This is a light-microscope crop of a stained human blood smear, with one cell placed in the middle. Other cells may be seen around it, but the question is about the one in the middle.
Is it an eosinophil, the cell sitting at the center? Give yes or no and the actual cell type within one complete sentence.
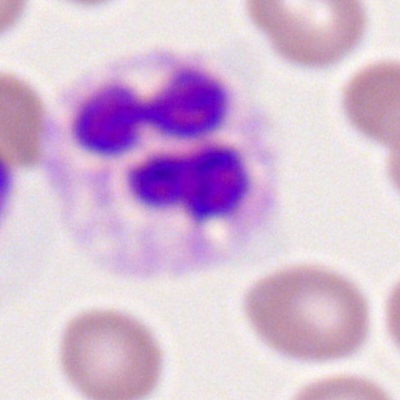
No, a segmented neutrophil rather than an eosinophil is the cell at the centre of the crop.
